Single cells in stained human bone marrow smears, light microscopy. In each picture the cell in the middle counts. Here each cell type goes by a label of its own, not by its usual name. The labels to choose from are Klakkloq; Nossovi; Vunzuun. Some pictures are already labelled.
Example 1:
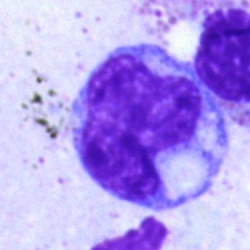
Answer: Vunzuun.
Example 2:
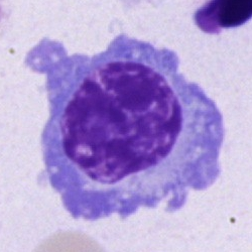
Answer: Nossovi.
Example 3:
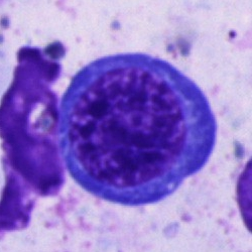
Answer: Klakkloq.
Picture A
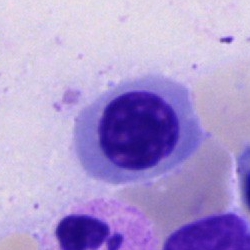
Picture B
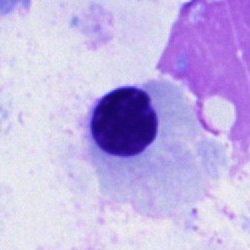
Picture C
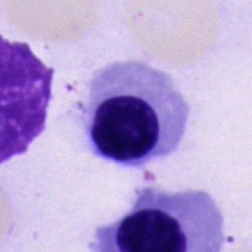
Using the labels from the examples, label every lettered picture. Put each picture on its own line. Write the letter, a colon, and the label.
A: Klakkloq.
B: Klakkloq.
C: Klakkloq.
